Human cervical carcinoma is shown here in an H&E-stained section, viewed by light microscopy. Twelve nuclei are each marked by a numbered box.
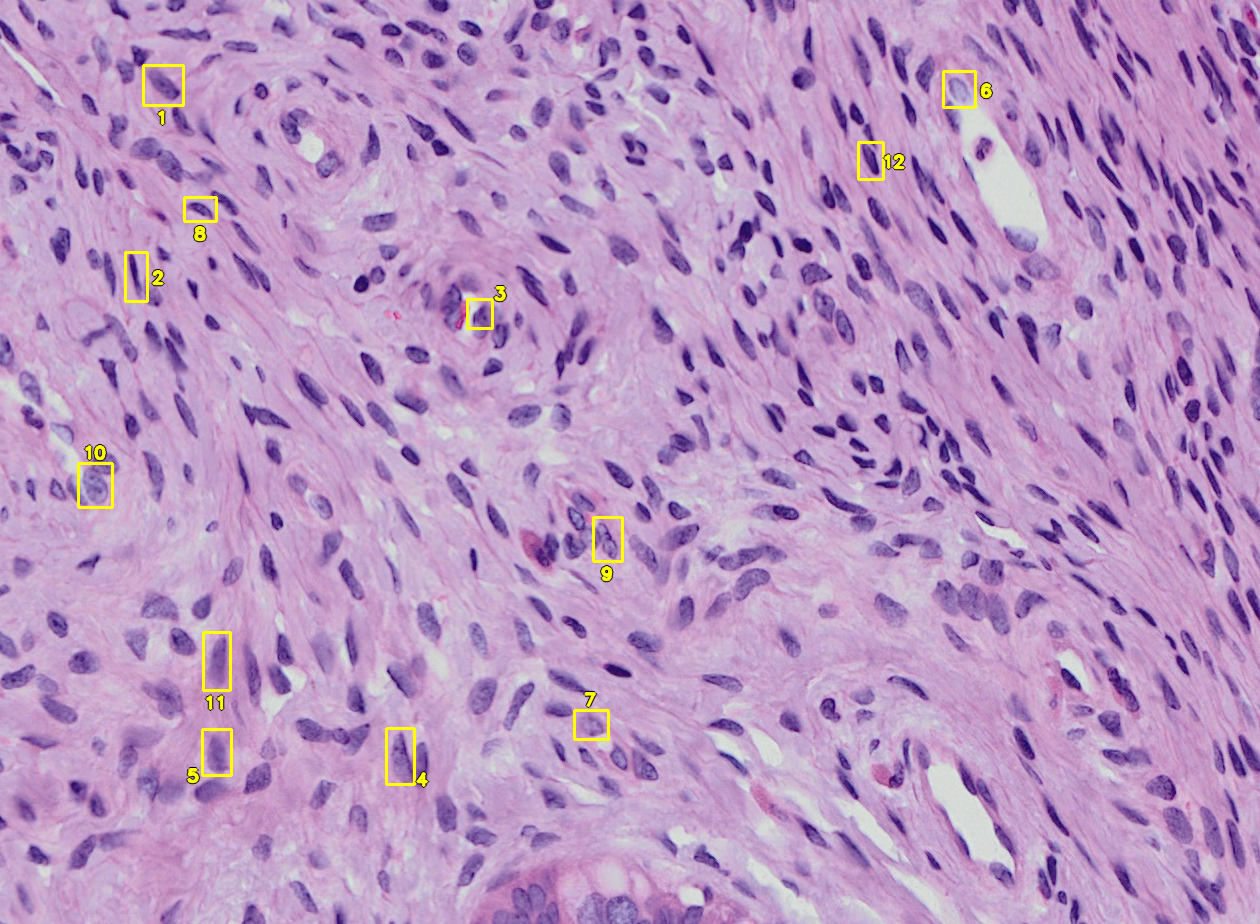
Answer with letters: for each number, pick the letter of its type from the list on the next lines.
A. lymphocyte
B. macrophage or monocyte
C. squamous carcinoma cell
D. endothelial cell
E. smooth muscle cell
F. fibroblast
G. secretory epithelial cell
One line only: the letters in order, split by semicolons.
F; F; D; F; F; D; D; F; D; D; F; F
